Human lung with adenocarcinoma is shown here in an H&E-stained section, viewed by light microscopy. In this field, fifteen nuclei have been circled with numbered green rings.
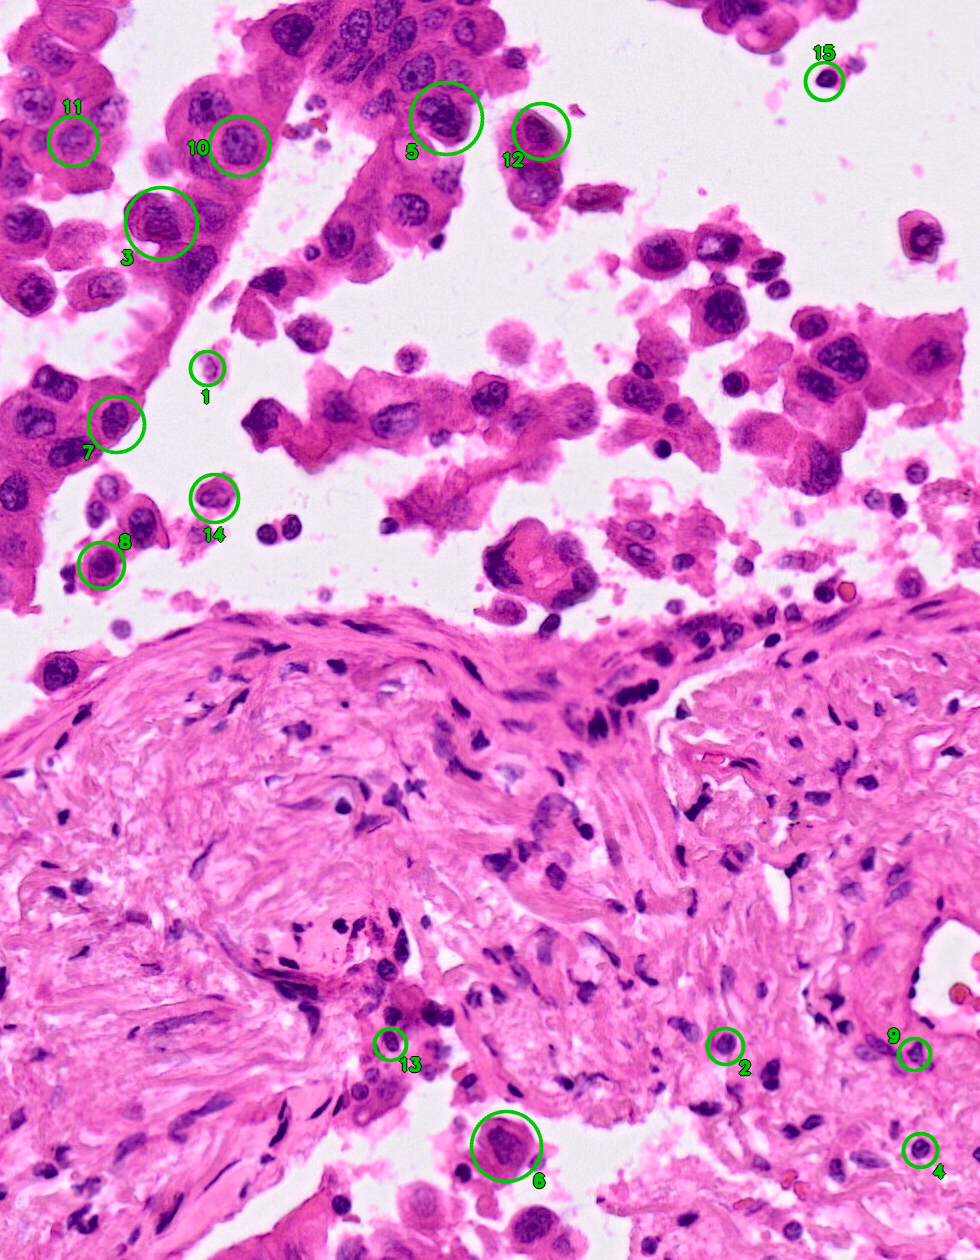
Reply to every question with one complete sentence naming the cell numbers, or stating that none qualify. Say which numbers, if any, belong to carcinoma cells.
When it comes to cells 3, 5, 6, 7, 8, 10, 11 and 12, they are carcinoma cells.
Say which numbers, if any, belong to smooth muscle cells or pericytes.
Across all the numbered cells, only number 9 is a smooth muscle cell or pericyte.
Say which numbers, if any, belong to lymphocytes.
The cells carrying labels 4, 13 and 15 are lymphocytes.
